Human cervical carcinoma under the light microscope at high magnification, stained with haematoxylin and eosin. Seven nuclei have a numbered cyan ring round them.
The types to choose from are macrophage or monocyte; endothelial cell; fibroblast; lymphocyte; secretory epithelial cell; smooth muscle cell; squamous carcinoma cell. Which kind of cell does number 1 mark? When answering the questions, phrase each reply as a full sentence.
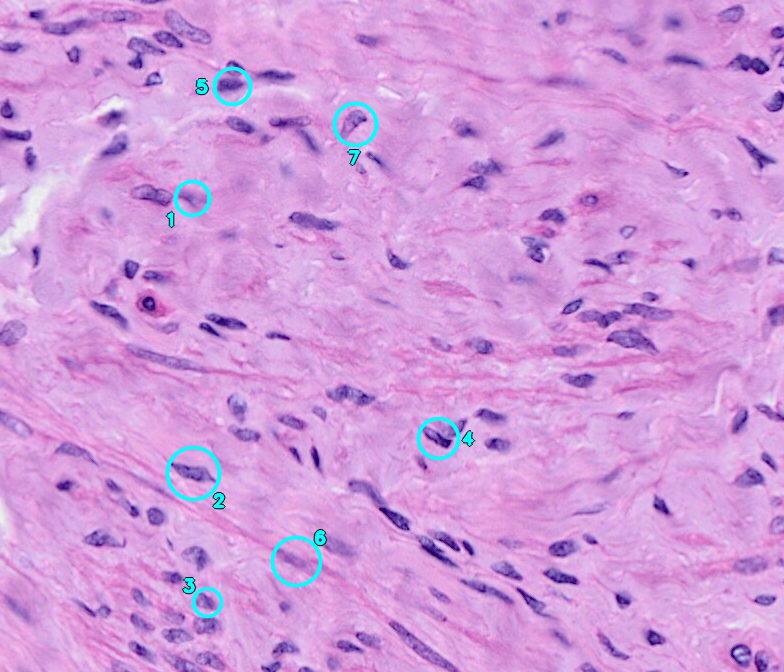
The cell carrying label 1 is identified as a smooth muscle cell.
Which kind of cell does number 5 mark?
The marked cell with the number 5 is recognised as a fibroblast.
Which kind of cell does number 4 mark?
Cell 4, as marked in the section, is a fibroblast.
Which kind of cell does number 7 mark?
The nucleus labelled 7 belongs to a fibroblast.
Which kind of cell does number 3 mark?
Cell 3 in the field is a smooth muscle cell.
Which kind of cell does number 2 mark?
Among the marked cells, number 2 is a fibroblast.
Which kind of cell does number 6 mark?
As for number 6, that cell is a smooth muscle cell.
